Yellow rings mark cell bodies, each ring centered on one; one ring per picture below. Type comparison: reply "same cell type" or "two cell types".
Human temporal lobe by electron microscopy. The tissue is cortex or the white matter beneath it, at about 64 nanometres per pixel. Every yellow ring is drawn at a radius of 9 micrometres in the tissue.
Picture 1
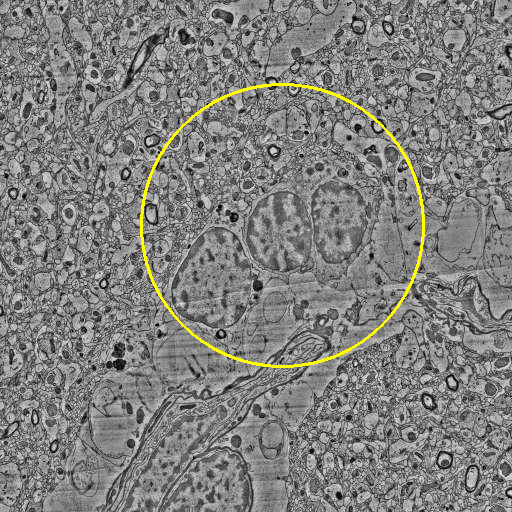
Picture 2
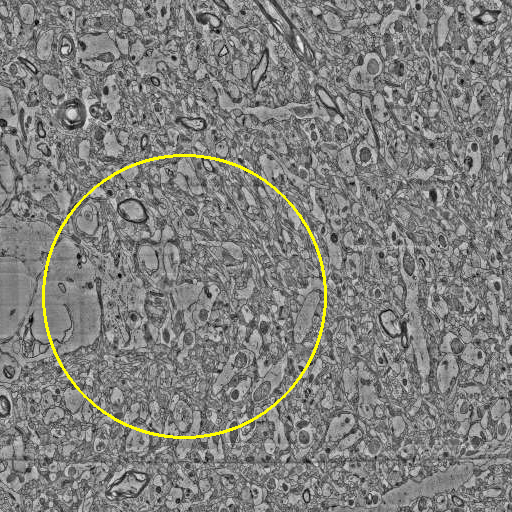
two cell types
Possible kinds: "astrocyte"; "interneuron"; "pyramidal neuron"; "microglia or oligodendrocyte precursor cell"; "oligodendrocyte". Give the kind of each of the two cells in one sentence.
The cell in the second picture is a microglial cell or oligodendrocyte precursor cell, and that in the first is an oligodendrocyte.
